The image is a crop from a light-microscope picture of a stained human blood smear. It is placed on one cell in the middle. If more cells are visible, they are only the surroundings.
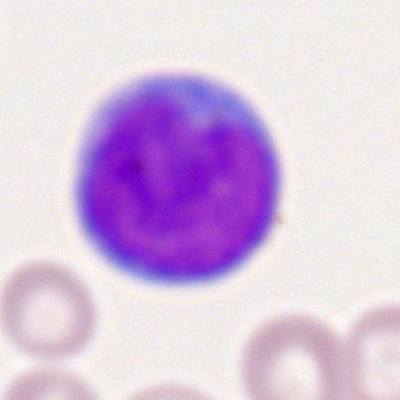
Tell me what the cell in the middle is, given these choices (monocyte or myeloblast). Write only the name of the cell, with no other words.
myeloblast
